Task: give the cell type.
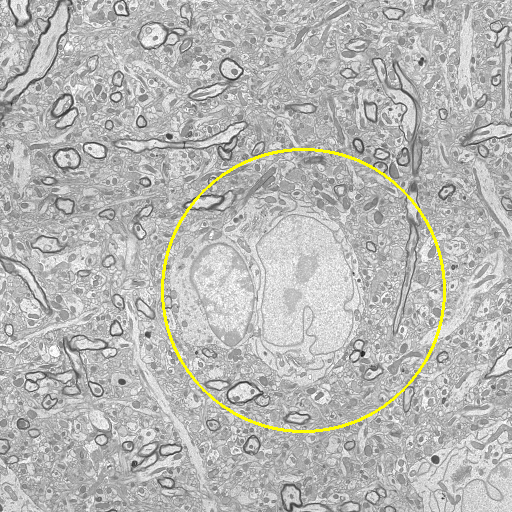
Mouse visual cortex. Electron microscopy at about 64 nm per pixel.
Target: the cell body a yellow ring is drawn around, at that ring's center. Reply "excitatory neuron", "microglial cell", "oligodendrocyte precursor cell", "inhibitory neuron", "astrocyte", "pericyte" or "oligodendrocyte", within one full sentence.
In this picture, the cell whose body lies at the ring's center is an inhibitory neuron.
